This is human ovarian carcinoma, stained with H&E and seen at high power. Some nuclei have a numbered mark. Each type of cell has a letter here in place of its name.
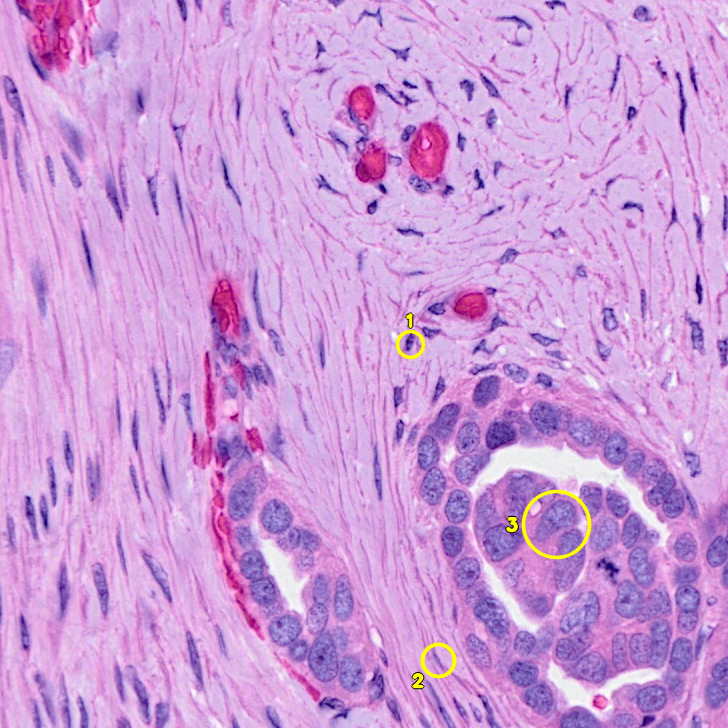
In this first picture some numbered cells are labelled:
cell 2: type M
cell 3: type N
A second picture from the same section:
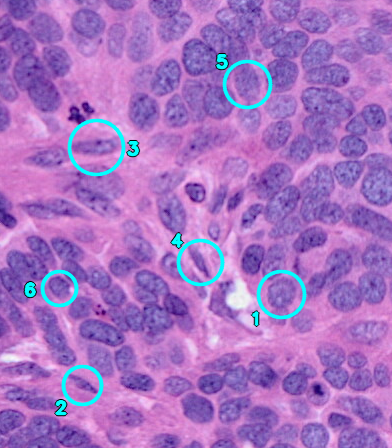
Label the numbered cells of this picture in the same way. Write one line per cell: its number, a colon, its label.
1: type N
2: type M
3: type M
4: type M
5: type N
6: type N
